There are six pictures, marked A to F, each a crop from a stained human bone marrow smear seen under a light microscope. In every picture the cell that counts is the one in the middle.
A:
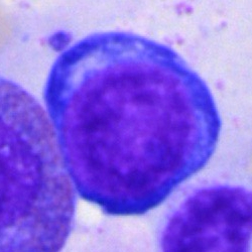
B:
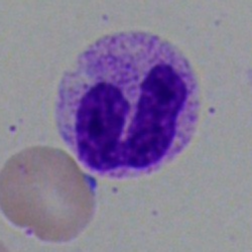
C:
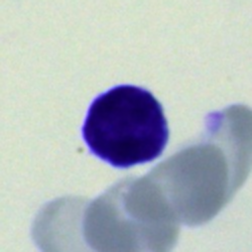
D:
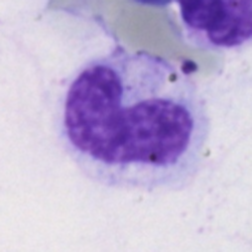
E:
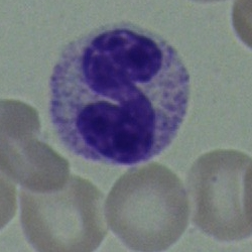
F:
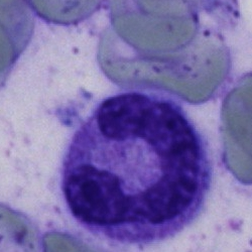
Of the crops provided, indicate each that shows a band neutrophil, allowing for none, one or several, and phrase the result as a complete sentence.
Form entry, crops D, E and F: central cells are band neutrophils.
